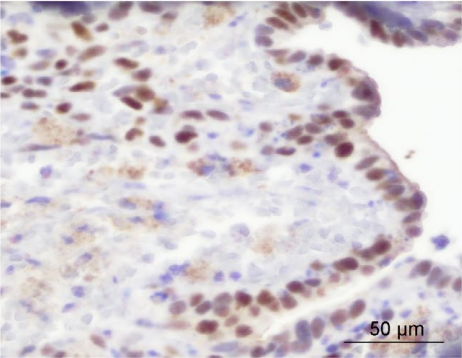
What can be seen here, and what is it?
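The lining is a single curving row of cuboidal to columnar cells whose oval nuclei are stained dark brown. Many rounded and oval nuclei in the underlying stroma are also brown, while others take only the pale blue counterstain. Between the cells, patchy, finely granular light brown deposits lie scattered through the pale stroma.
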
